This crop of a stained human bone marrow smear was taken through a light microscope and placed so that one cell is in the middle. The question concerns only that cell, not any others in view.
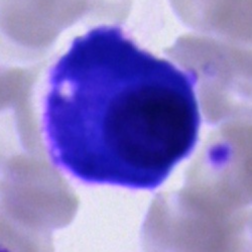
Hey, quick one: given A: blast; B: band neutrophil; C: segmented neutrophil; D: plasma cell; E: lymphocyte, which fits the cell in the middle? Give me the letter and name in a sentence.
At the centre of the crop lies a plasma cell, which makes option D correct.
